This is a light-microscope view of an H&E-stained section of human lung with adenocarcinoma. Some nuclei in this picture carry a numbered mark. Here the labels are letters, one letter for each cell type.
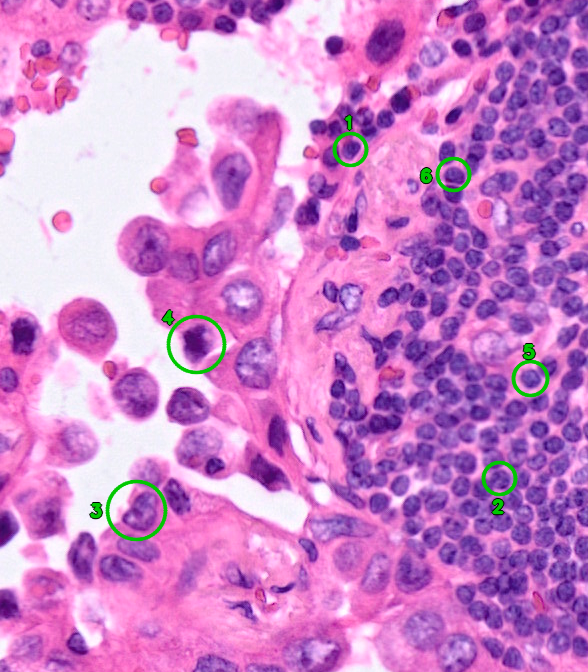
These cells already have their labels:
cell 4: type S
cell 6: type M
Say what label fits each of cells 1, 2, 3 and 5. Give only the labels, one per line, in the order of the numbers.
type M
type M
type S
type M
